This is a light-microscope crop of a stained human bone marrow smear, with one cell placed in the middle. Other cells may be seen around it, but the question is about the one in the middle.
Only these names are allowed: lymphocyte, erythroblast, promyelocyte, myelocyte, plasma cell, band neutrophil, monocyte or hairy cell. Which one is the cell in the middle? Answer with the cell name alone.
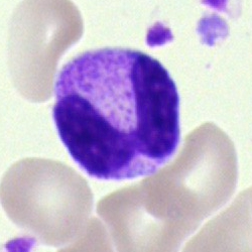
band neutrophil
